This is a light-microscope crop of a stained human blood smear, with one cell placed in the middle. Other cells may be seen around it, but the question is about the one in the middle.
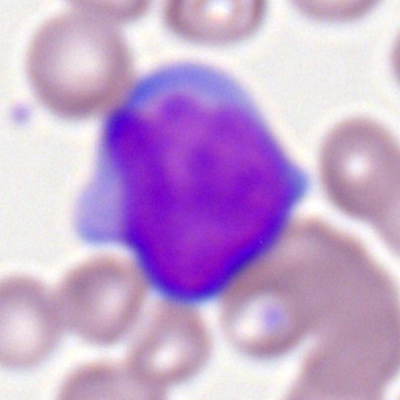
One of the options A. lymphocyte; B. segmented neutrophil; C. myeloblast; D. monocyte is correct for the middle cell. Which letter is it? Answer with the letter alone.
C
